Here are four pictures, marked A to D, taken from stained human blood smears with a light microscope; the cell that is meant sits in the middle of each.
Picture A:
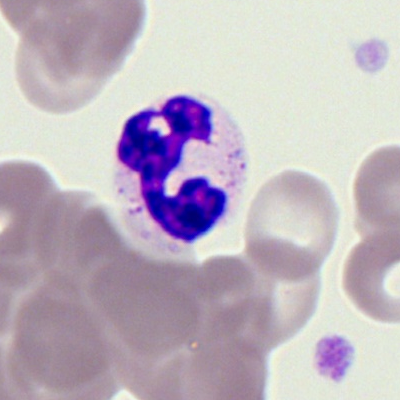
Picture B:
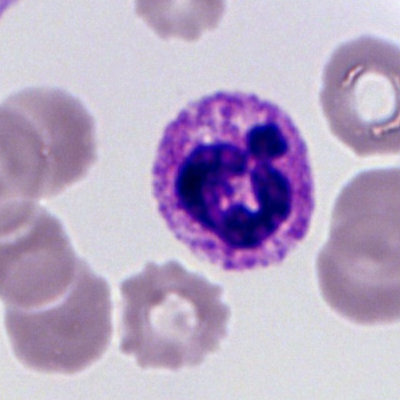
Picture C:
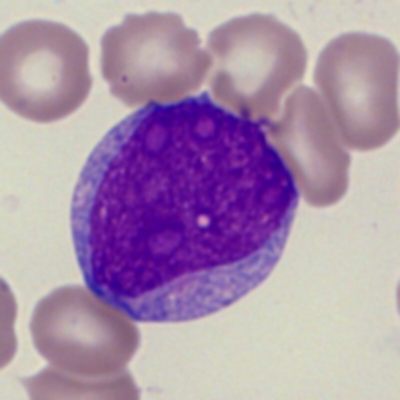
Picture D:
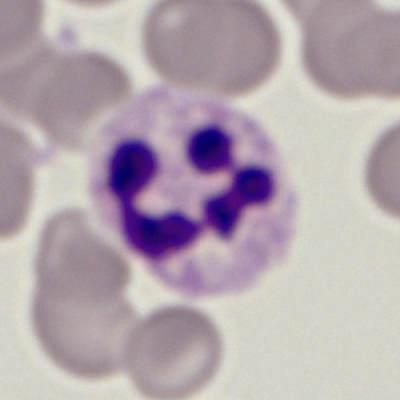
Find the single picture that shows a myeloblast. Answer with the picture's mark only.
C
